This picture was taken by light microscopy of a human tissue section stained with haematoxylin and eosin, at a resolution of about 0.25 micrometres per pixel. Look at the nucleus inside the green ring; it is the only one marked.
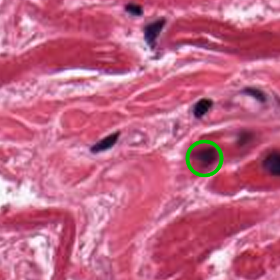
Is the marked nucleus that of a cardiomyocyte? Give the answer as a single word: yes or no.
yes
